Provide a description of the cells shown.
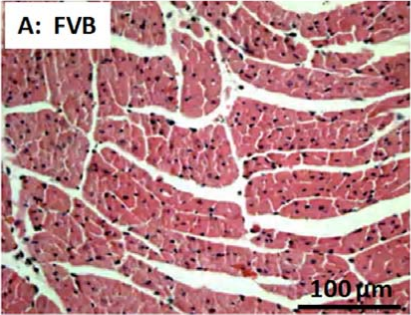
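This is heart muscle in section, made up of cardiomyocytes cut mostly across, which appear as closely packed polygonal profiles with pink cytoplasm. The cells are grouped into bundles separated by pale, empty-looking clefts of varying width. Thin pale lines outline individual cells within each bundle.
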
